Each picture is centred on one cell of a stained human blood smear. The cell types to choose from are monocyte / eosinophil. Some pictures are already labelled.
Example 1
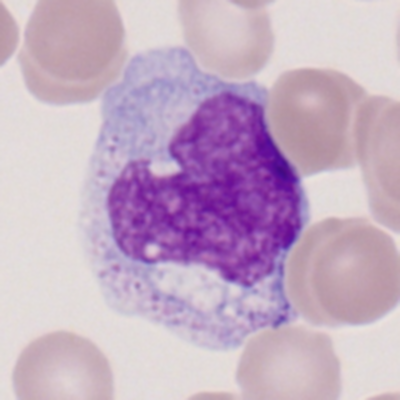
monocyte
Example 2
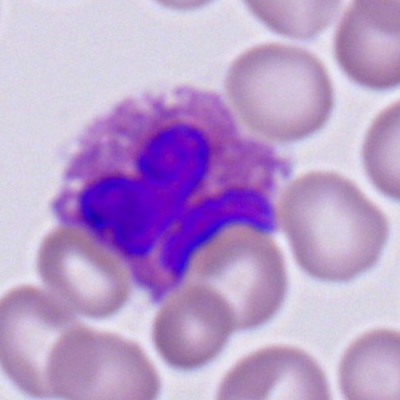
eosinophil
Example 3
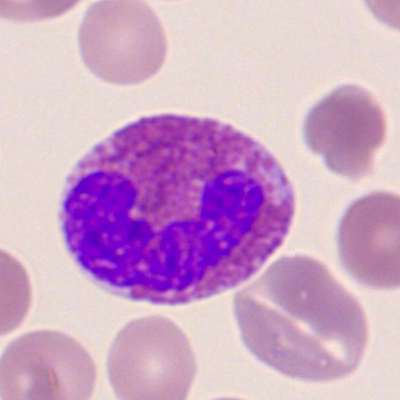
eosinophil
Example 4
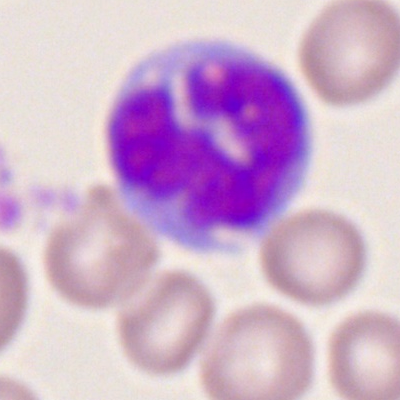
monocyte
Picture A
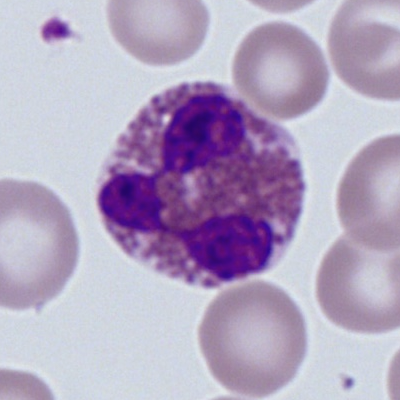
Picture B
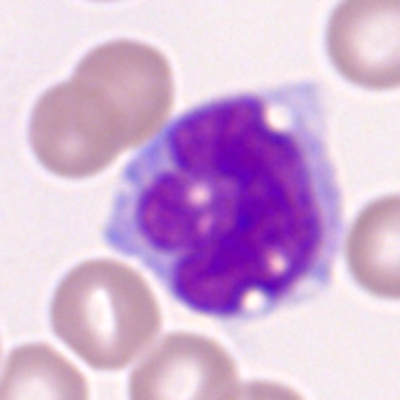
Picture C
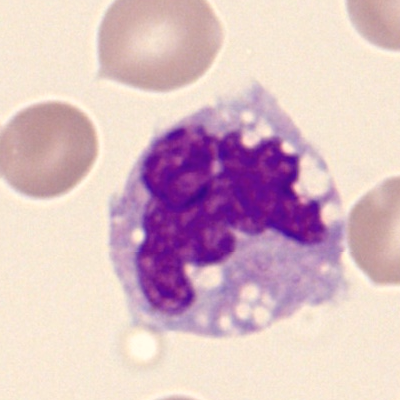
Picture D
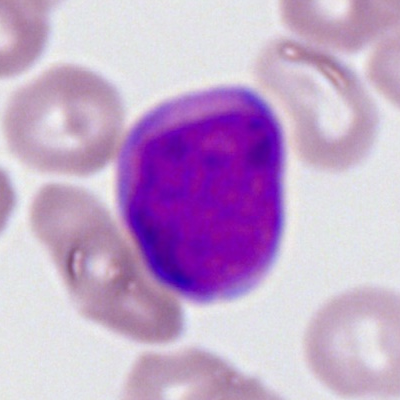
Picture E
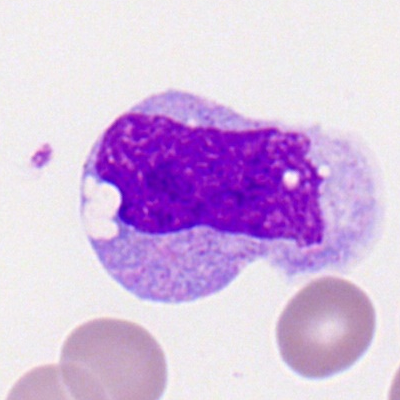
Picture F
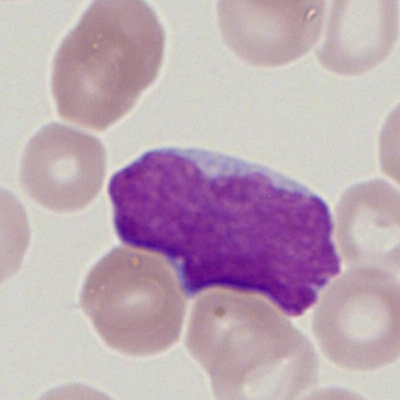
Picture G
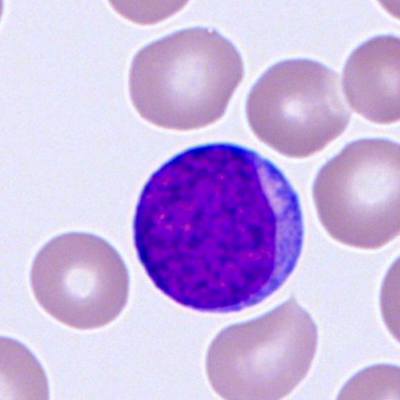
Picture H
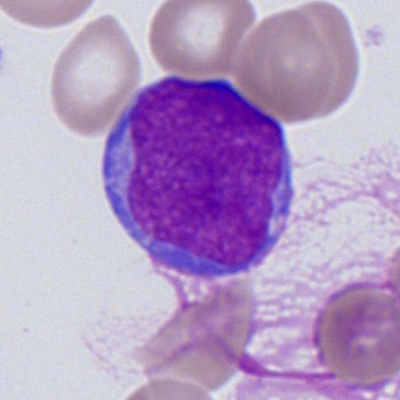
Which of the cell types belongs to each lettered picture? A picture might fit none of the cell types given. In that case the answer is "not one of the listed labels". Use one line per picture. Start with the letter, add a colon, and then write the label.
A: eosinophil
B: monocyte
C: monocyte
D: not one of the listed labels
E: monocyte
F: not one of the listed labels
G: not one of the listed labels
H: not one of the listed labels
